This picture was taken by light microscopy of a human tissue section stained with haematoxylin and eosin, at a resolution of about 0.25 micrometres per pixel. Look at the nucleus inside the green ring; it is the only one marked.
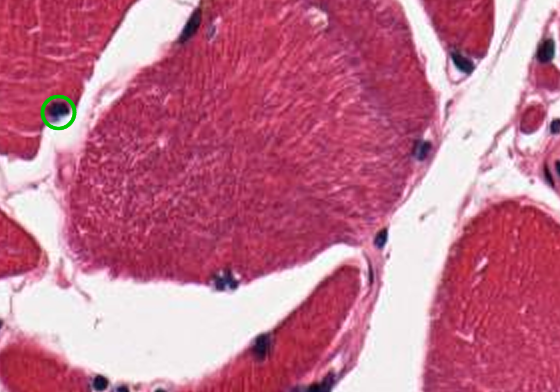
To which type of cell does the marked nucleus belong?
skeletal muscle fibre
